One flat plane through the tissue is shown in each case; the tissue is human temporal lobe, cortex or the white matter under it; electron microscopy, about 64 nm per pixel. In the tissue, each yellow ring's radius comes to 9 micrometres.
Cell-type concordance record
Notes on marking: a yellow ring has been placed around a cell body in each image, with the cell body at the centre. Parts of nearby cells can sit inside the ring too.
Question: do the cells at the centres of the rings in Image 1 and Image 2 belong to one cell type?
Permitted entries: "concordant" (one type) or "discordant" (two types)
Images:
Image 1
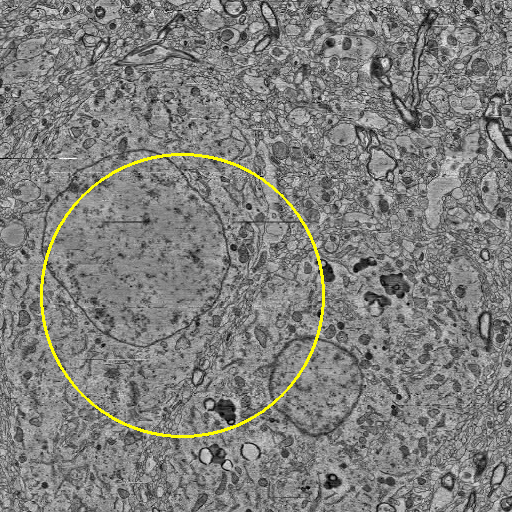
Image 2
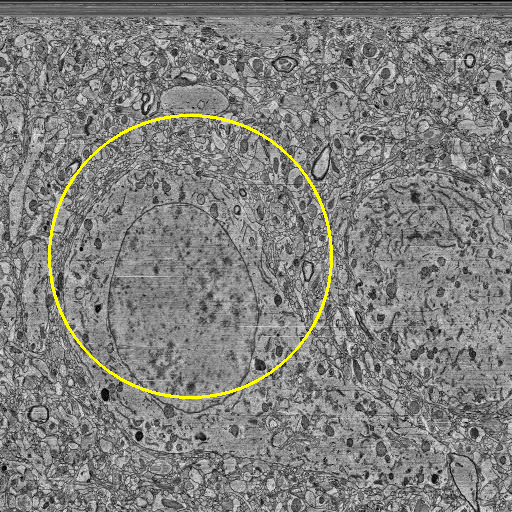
concordant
